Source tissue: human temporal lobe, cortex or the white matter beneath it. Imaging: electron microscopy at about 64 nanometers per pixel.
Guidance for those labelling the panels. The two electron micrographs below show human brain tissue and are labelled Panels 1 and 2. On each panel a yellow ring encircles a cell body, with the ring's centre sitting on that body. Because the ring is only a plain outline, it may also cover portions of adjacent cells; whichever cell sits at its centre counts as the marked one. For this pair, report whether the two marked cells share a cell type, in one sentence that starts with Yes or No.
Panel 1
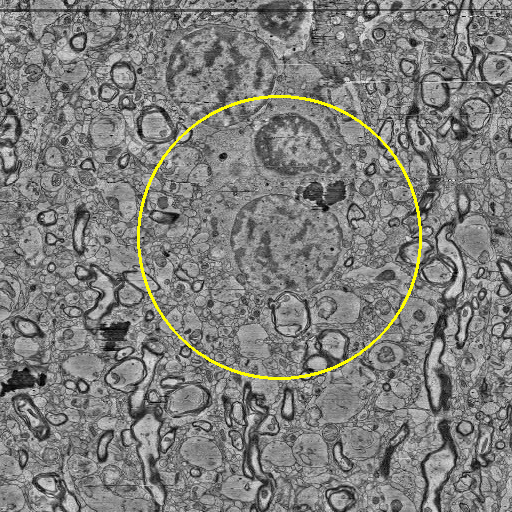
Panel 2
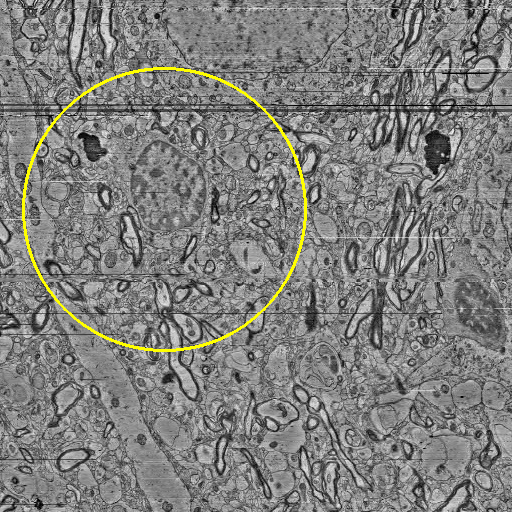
Yes, in Panel 1 and Panel 2 the marked cells at the ring centres share one type.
